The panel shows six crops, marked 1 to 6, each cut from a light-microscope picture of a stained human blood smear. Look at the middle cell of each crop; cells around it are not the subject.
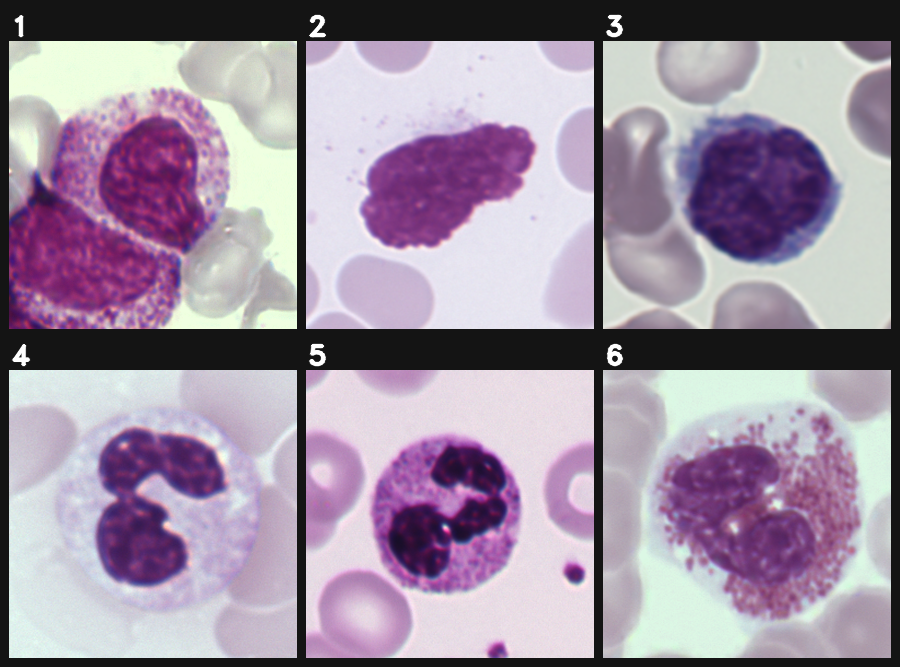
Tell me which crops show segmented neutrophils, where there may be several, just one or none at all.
4, 5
